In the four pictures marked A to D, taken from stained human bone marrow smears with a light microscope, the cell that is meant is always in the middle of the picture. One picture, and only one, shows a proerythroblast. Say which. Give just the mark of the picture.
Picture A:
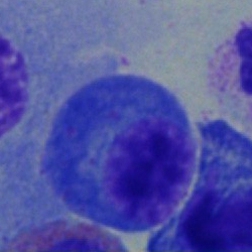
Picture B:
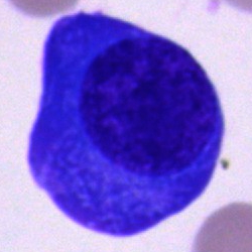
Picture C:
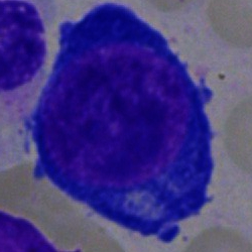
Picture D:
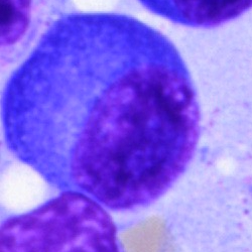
C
